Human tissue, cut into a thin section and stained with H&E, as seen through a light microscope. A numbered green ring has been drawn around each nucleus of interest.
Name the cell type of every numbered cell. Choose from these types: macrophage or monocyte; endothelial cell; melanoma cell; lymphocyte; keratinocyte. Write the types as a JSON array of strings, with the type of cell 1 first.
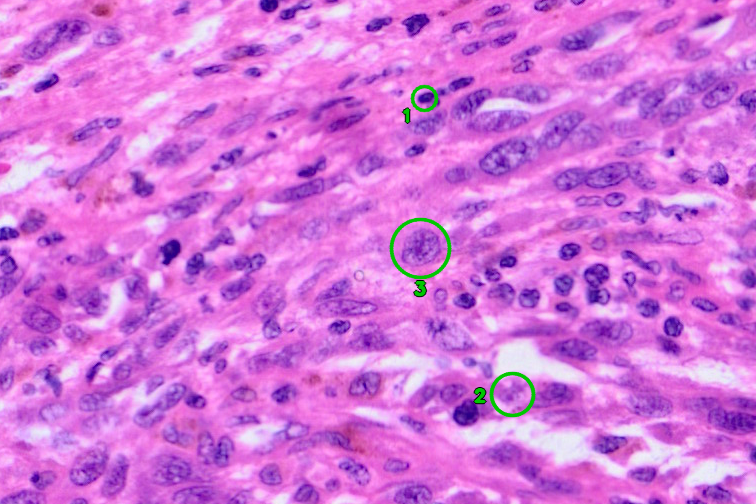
["lymphocyte", "melanoma cell", "melanoma cell"]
